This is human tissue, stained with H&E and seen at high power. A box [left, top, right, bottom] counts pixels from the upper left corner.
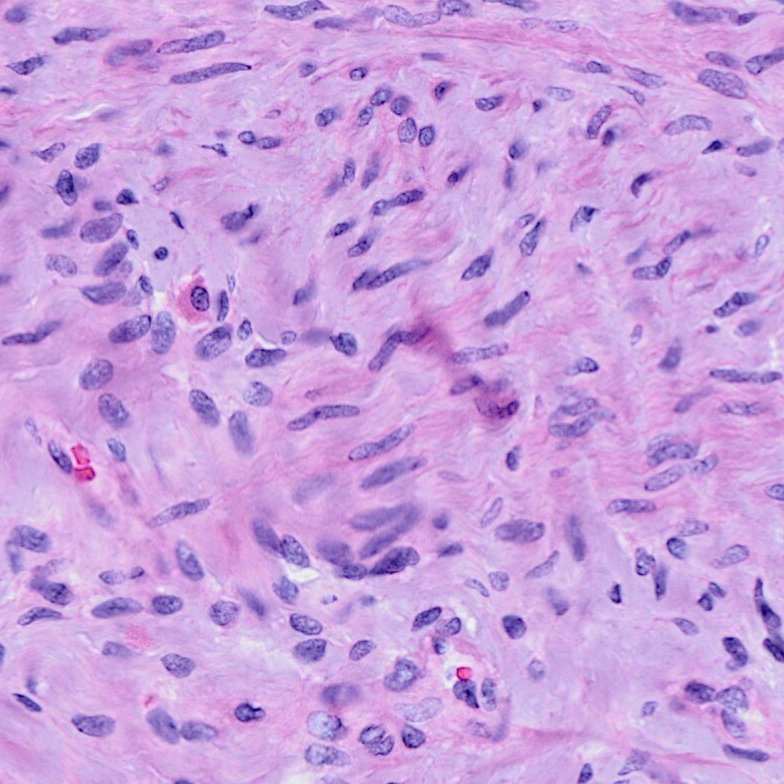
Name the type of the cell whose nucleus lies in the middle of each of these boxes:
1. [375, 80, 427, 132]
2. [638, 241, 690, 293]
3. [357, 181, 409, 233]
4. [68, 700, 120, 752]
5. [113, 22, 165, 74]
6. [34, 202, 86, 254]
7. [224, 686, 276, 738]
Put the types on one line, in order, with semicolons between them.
smooth muscle cell; smooth muscle cell; smooth muscle cell; fibroblast; smooth muscle cell; fibroblast; endothelial cell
